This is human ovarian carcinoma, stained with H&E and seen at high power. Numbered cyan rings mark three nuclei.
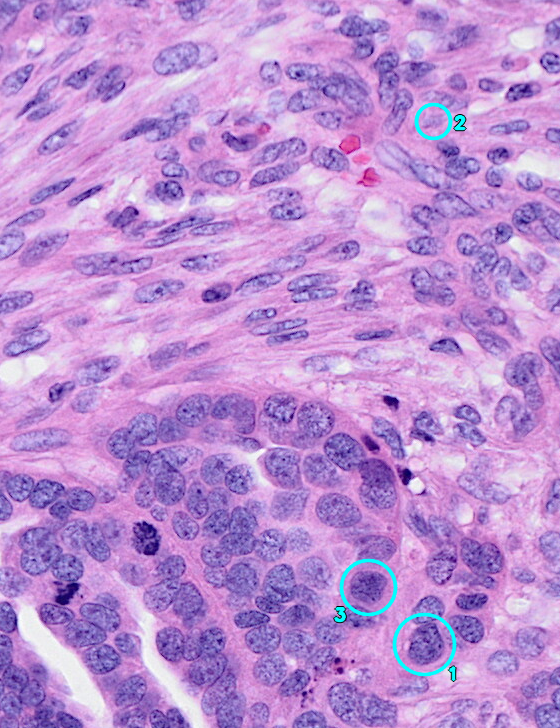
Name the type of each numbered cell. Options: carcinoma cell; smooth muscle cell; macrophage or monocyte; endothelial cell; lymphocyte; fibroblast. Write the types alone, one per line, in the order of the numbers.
carcinoma cell
fibroblast
carcinoma cell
